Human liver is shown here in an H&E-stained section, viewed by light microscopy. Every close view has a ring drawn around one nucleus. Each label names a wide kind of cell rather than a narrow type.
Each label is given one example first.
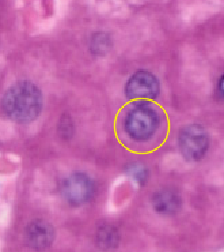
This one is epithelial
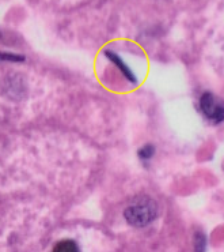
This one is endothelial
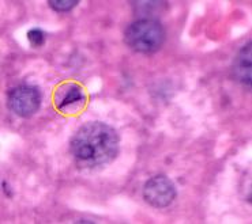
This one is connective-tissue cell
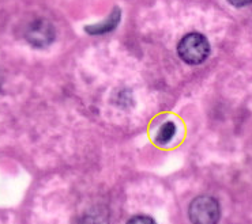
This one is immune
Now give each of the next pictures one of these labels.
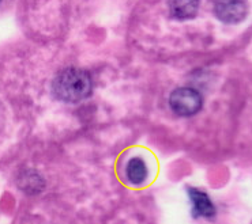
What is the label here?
immune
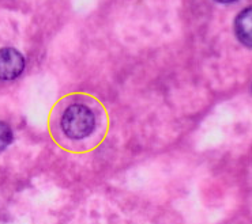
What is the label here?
epithelial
